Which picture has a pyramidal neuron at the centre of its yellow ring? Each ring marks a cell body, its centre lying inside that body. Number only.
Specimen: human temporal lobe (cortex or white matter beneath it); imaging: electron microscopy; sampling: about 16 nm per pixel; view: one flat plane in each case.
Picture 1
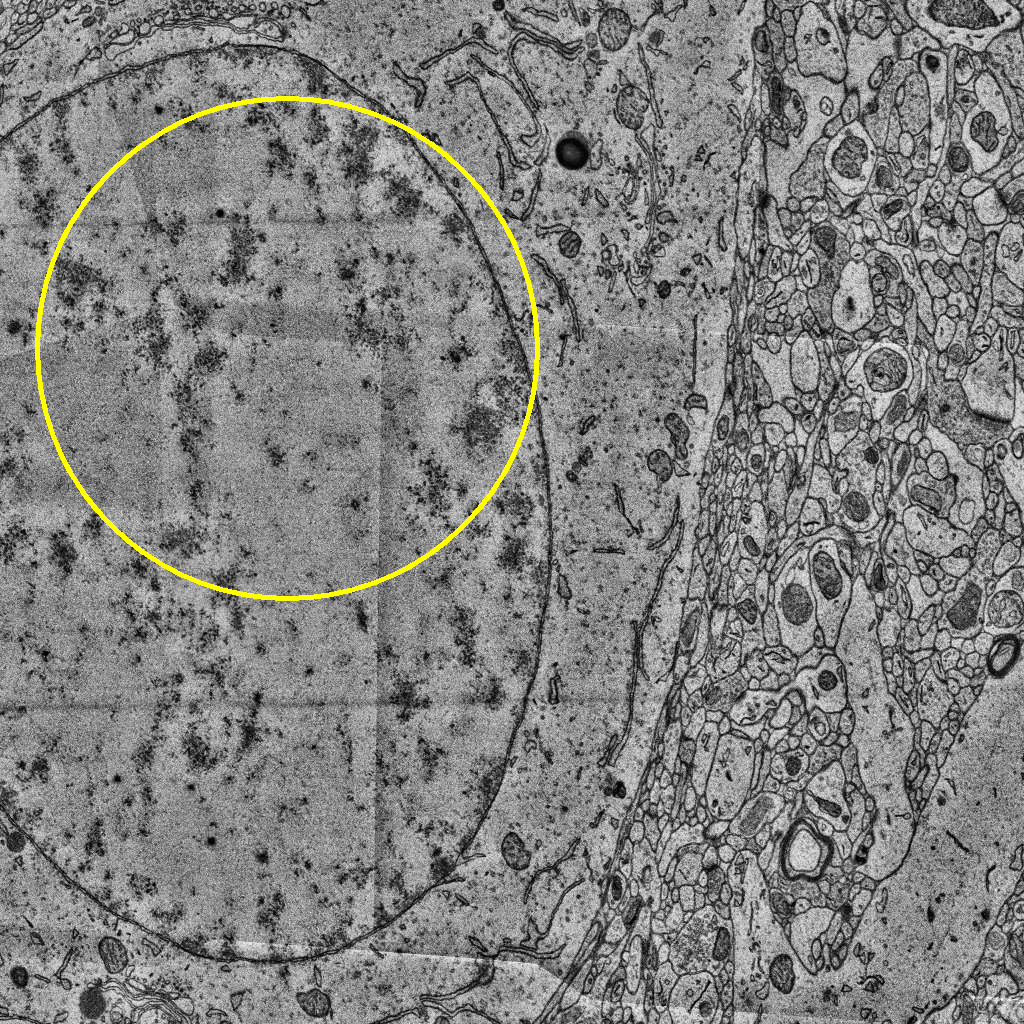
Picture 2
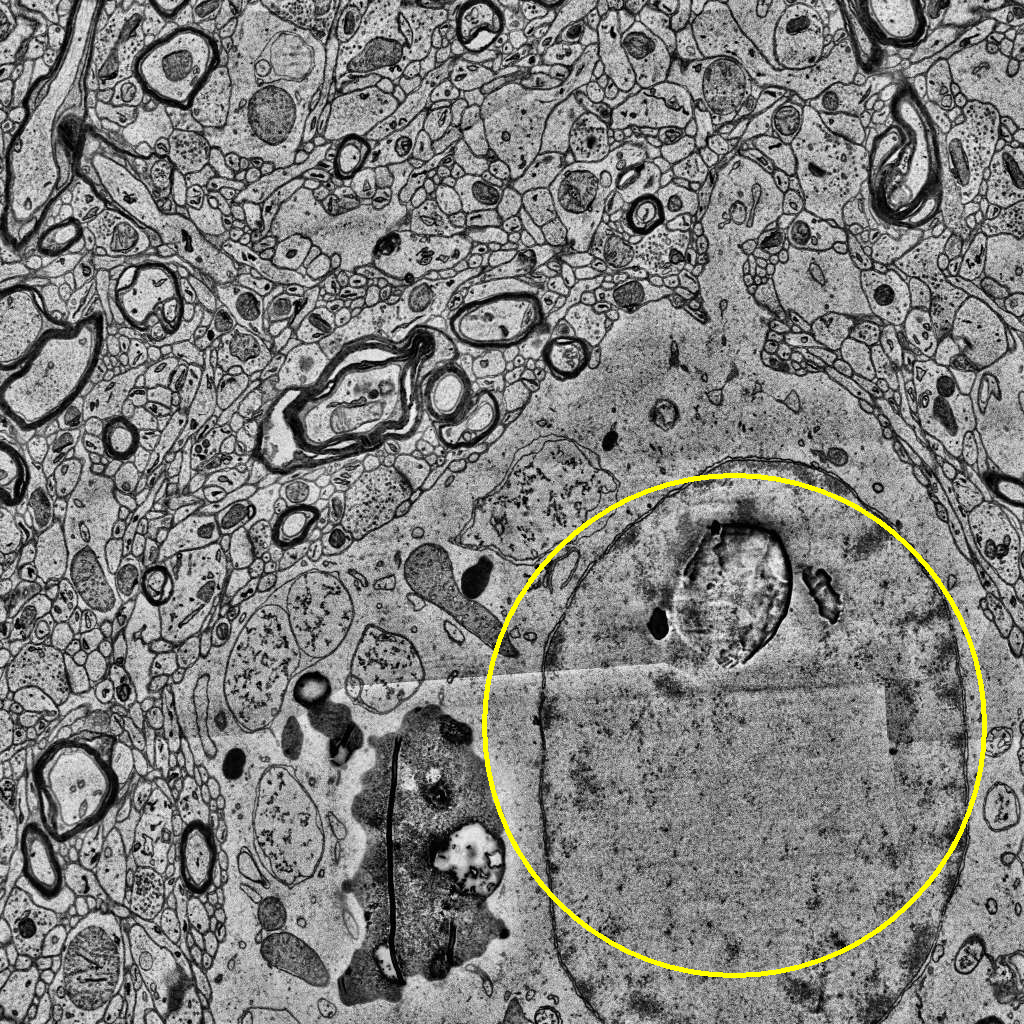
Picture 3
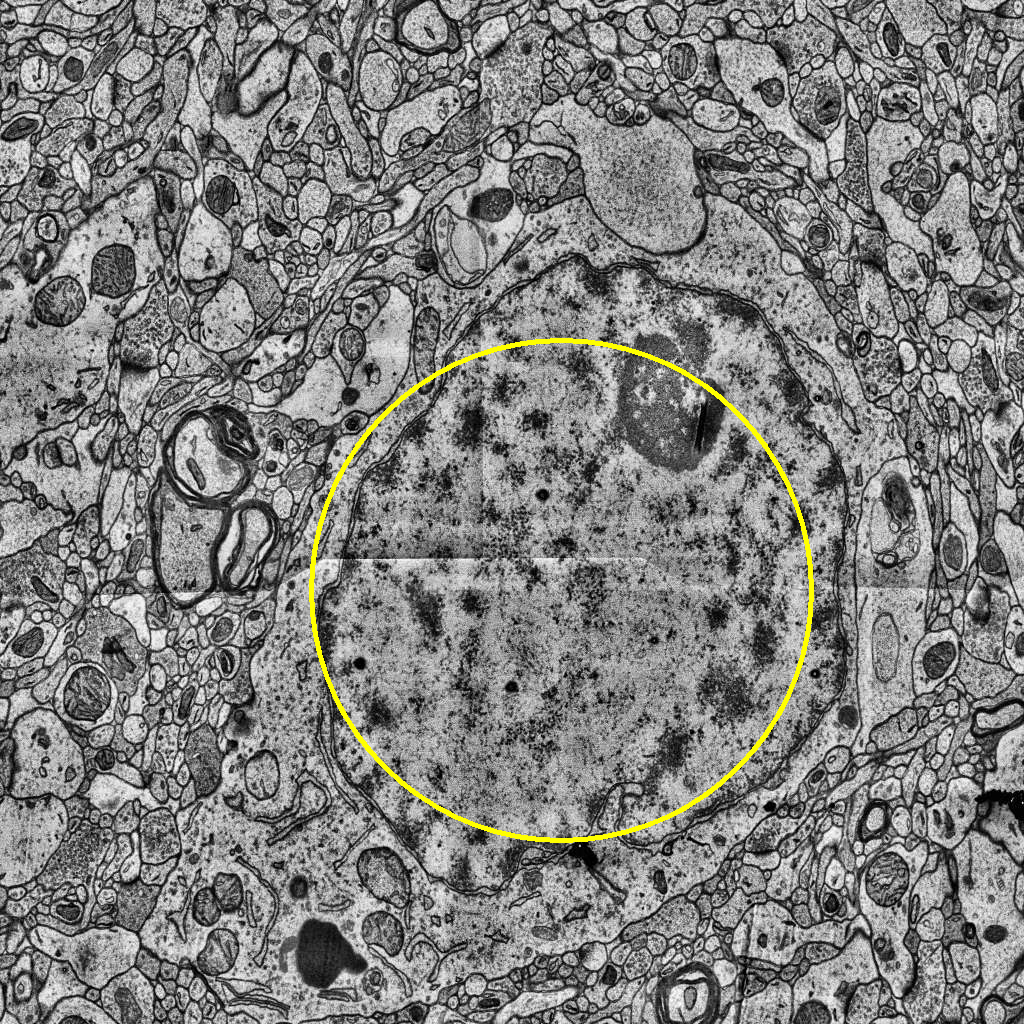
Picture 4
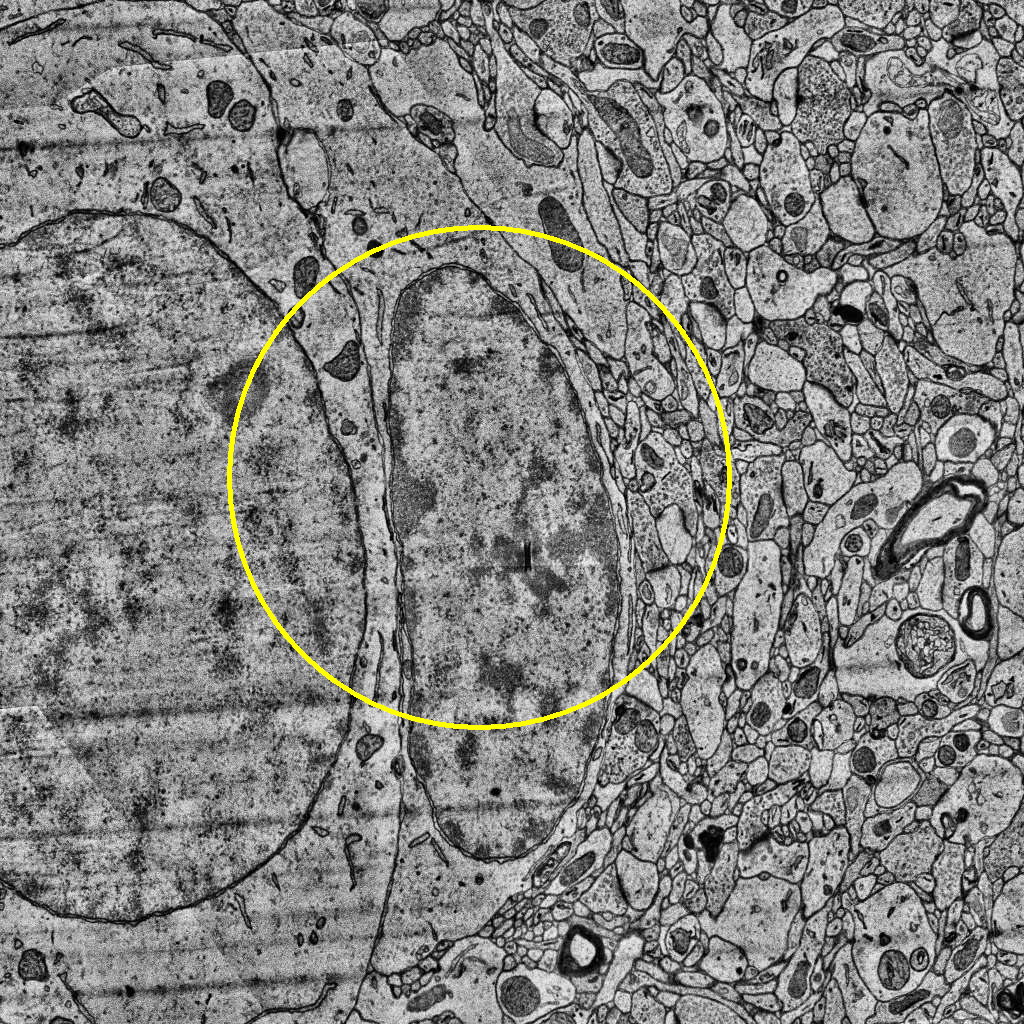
1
